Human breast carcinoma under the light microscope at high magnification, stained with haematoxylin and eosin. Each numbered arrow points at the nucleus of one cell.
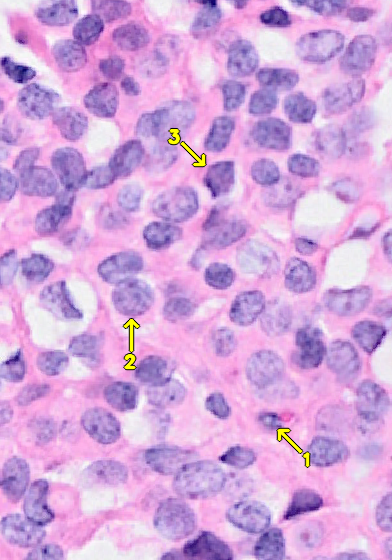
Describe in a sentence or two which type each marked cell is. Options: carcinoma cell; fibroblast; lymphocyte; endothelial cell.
Cell 1 is an endothelial cell, cell 2 is a carcinoma cell and cell 3 is a carcinoma cell.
